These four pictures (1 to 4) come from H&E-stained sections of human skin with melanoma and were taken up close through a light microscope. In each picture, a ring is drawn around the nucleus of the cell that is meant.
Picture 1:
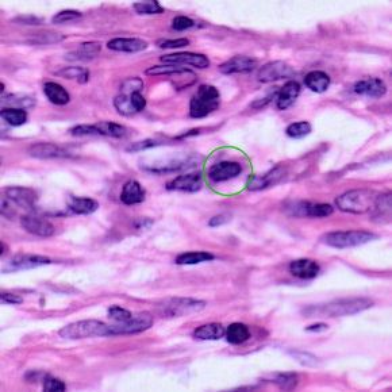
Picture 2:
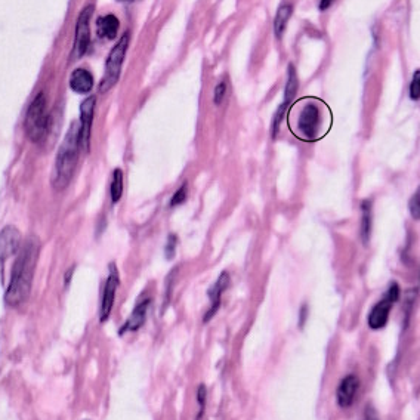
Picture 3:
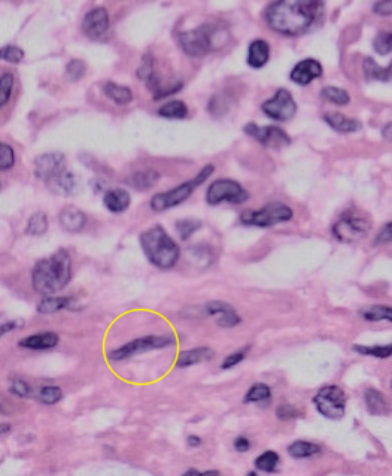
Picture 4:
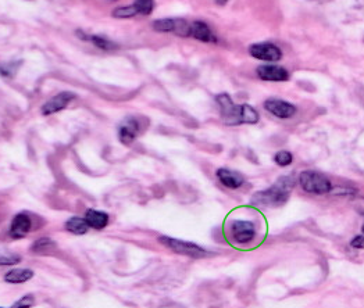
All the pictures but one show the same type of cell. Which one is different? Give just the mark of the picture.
3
